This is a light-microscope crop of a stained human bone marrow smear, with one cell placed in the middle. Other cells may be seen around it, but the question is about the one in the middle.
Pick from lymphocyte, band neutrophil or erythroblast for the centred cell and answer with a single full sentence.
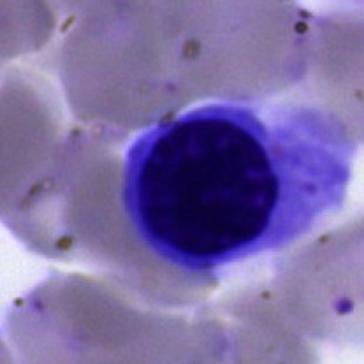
The single cell at the center of the crop is an erythroblast.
